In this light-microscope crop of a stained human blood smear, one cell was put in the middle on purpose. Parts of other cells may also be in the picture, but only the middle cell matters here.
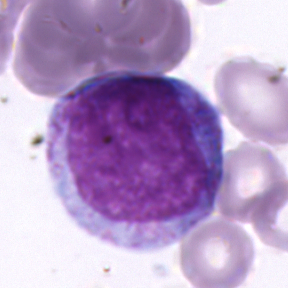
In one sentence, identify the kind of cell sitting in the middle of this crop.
In the centre of this crop there is a promyelocyte.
